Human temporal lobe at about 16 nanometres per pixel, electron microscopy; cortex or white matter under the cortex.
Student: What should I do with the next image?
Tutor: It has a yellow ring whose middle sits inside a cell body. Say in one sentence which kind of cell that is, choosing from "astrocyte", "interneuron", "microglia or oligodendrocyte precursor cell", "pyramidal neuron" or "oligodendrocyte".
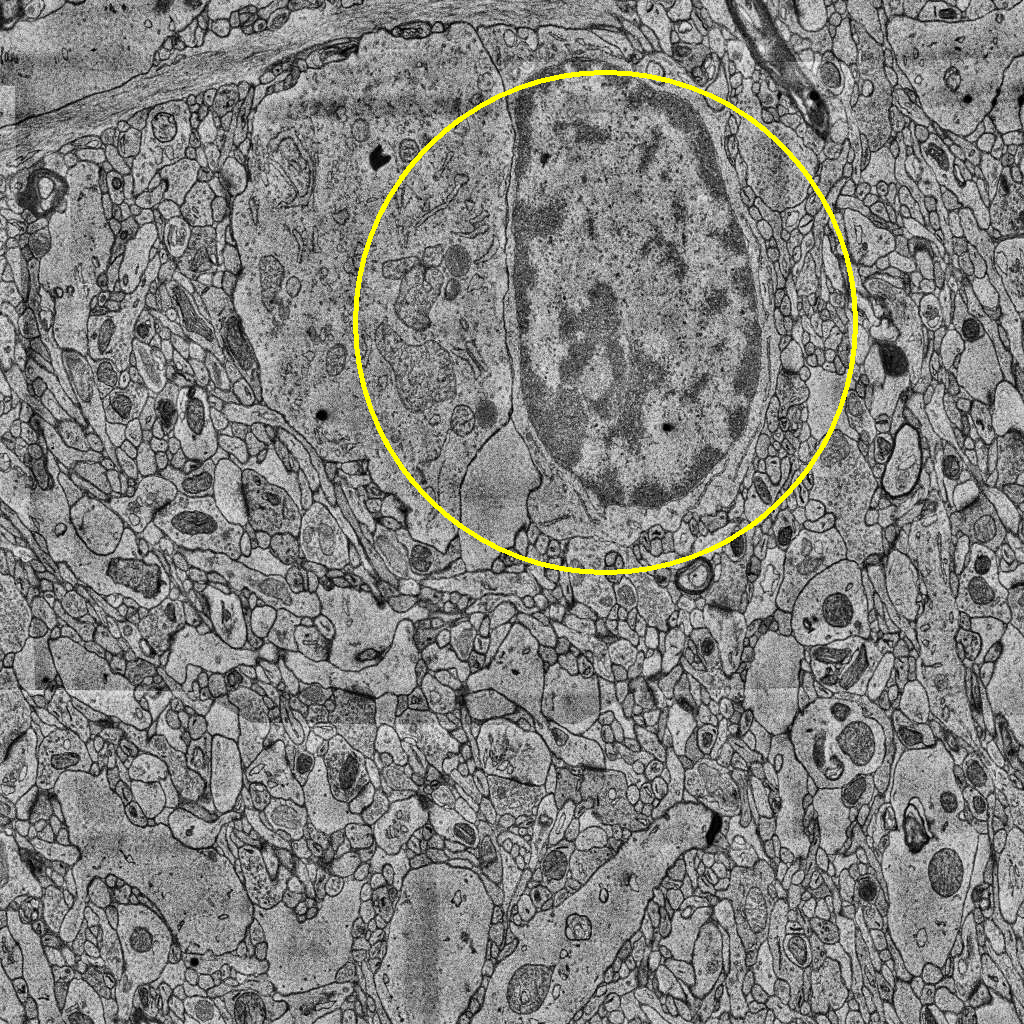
The ring's centre is occupied by a microglial cell or oligodendrocyte precursor cell.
